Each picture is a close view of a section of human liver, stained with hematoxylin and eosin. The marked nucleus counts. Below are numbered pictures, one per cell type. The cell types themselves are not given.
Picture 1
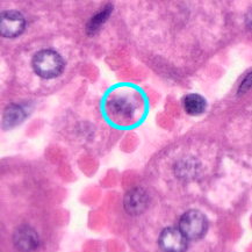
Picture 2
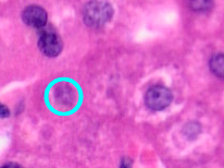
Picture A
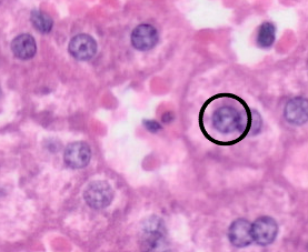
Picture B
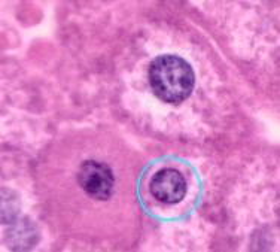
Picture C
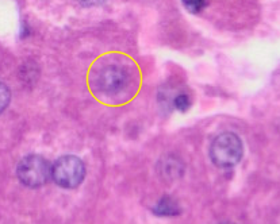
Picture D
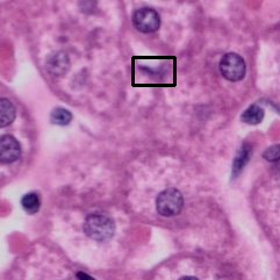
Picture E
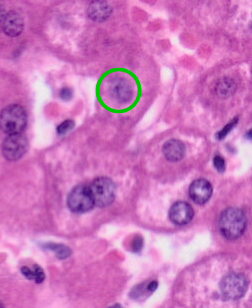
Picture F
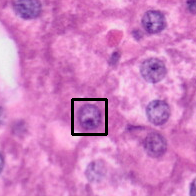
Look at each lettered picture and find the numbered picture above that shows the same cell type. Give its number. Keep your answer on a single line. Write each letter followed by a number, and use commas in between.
A 2, B 2, C 2, D 1, E 2, F 2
